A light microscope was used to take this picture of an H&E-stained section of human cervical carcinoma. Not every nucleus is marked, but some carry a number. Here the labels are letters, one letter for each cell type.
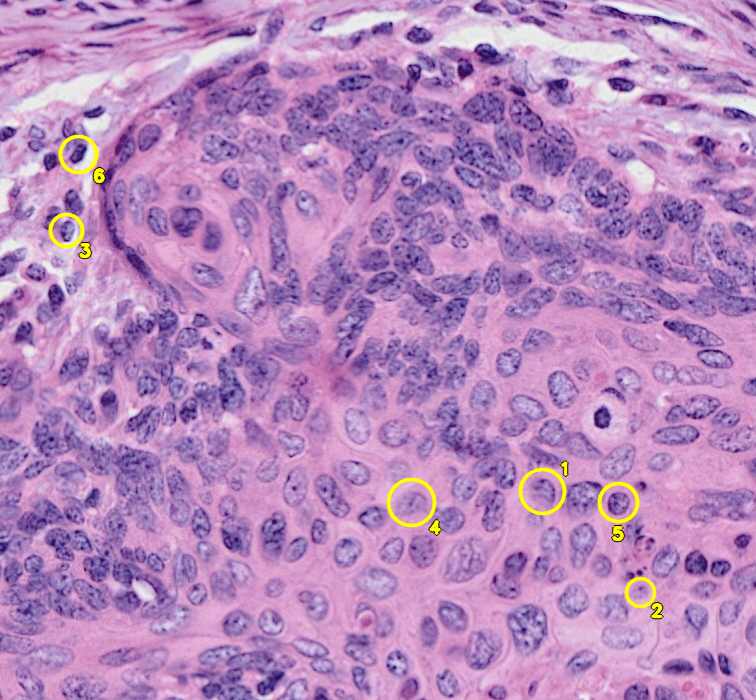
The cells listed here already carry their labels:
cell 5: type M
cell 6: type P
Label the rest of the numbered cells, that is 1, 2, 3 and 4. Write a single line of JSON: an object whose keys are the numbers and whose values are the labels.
{"1": "type M", "2": "type M", "3": "type P", "4": "type M"}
